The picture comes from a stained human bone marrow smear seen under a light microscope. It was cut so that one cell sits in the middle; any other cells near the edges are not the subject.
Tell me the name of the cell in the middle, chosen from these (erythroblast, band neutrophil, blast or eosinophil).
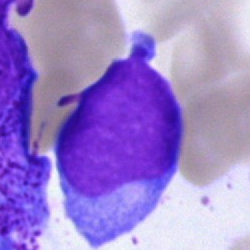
blast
